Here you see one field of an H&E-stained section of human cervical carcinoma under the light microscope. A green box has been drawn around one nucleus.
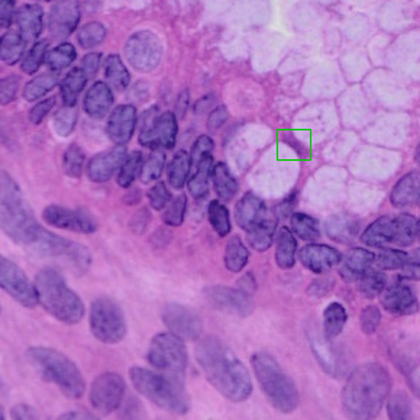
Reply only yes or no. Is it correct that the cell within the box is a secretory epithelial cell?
yes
